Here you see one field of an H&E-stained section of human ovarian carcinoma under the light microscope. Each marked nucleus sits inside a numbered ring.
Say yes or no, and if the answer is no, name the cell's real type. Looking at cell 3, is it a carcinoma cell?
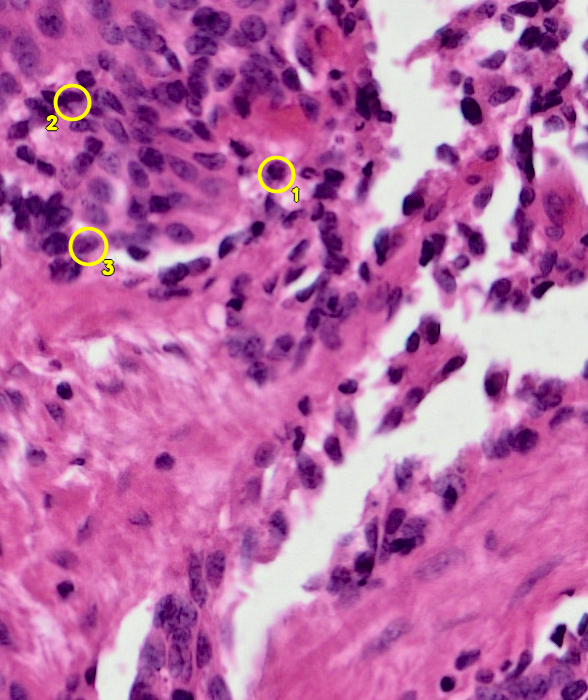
Yes.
